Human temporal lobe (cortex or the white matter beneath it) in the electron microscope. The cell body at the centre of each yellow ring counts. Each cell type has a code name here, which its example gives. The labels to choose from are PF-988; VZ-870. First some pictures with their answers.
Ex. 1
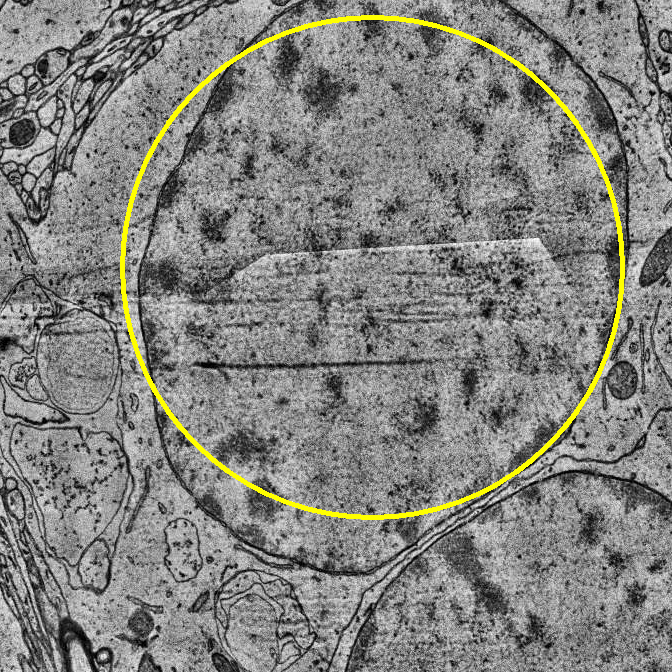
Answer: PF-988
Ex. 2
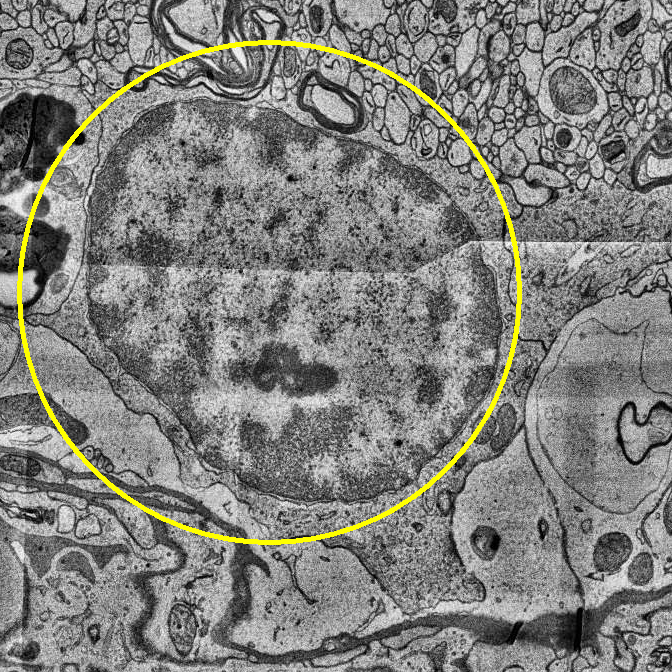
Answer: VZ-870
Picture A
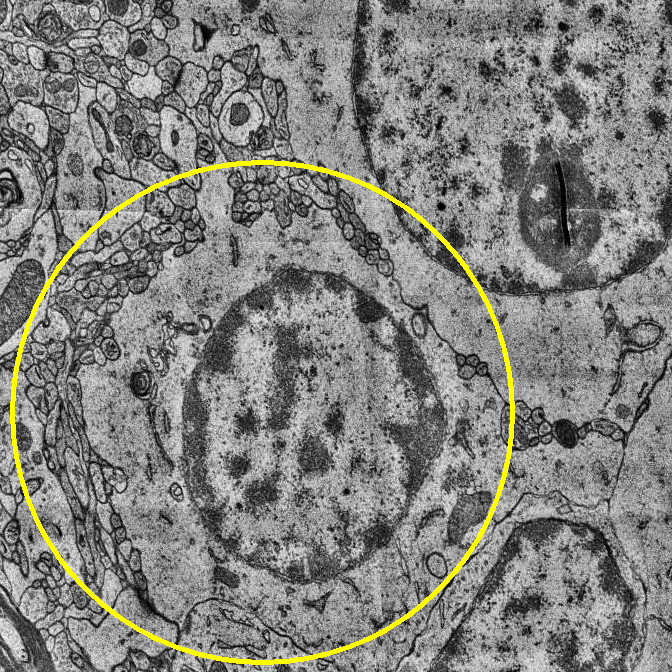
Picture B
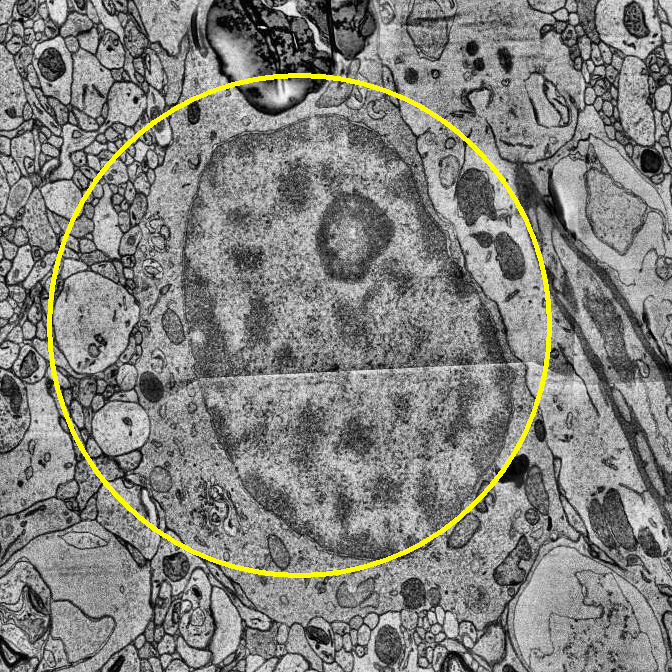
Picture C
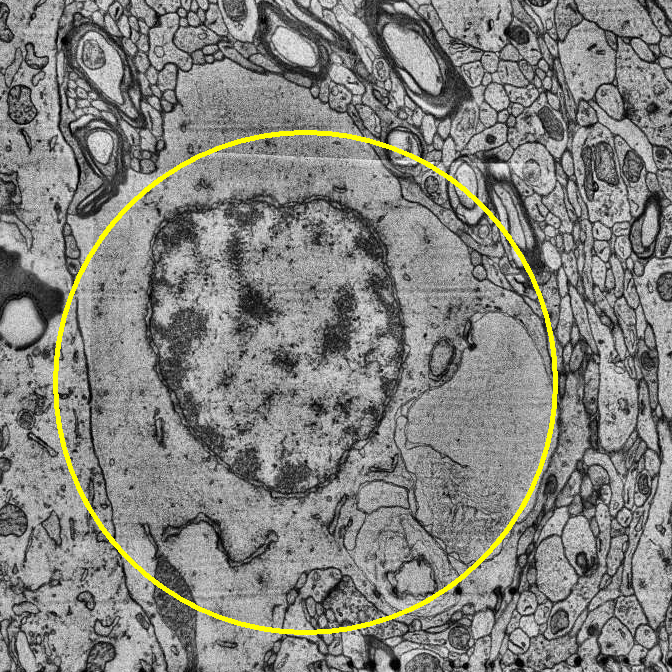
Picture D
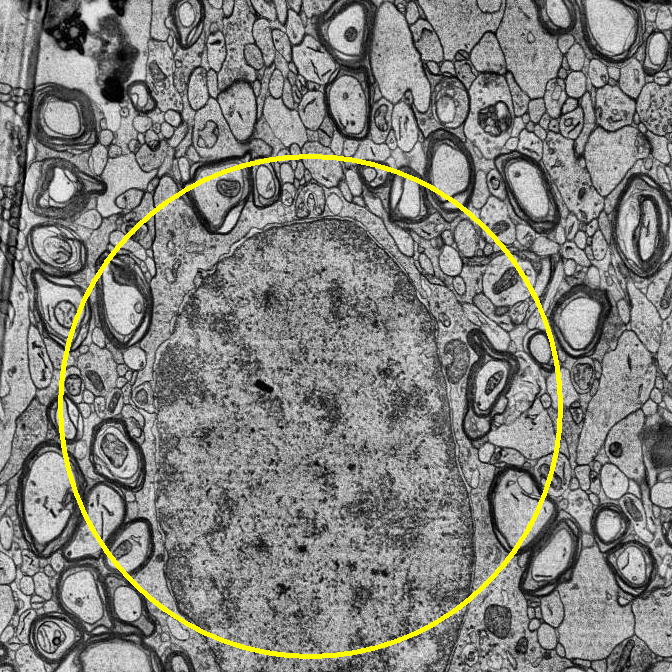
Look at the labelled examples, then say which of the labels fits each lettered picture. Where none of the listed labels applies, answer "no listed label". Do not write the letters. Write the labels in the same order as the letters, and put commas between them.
PF-988, VZ-870, PF-988, VZ-870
